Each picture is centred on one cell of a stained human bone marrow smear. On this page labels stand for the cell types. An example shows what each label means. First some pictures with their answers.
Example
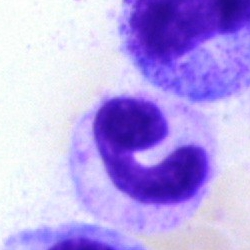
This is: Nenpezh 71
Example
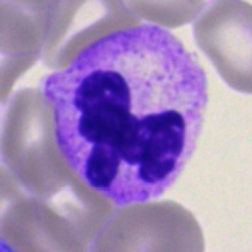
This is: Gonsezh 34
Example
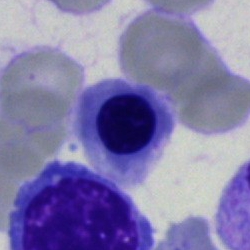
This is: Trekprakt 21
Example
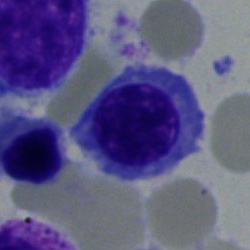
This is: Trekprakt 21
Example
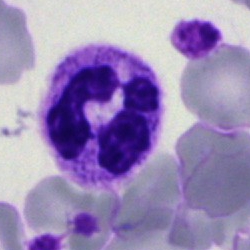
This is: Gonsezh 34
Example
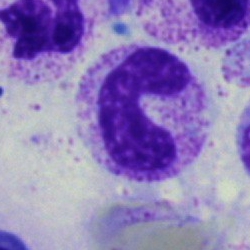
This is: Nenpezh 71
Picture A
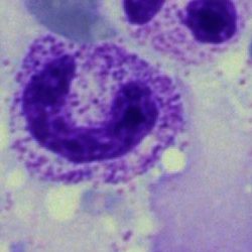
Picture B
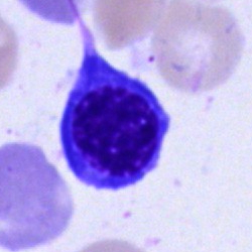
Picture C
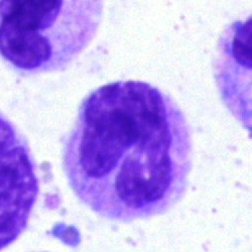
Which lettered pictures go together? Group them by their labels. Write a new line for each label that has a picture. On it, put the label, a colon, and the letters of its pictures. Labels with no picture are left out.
Nenpezh 71: A
Gonsezh 34: C
Trekprakt 21: B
